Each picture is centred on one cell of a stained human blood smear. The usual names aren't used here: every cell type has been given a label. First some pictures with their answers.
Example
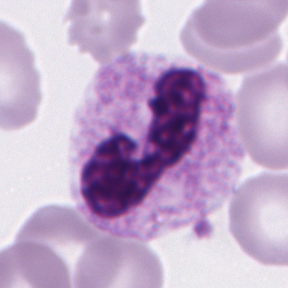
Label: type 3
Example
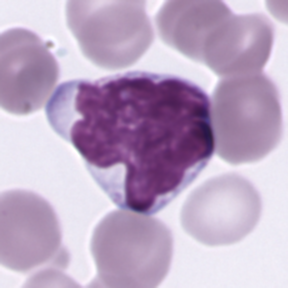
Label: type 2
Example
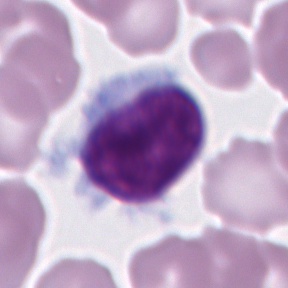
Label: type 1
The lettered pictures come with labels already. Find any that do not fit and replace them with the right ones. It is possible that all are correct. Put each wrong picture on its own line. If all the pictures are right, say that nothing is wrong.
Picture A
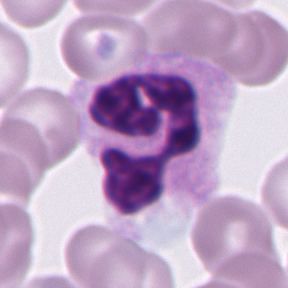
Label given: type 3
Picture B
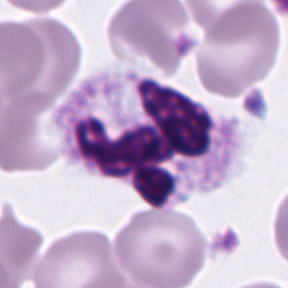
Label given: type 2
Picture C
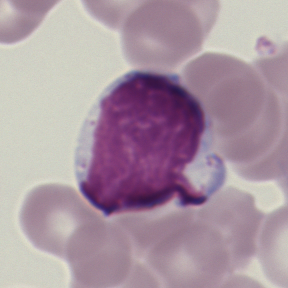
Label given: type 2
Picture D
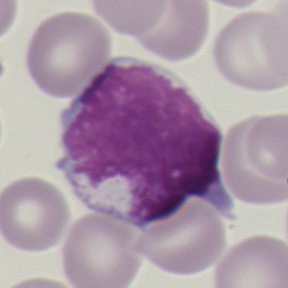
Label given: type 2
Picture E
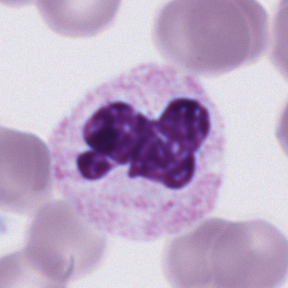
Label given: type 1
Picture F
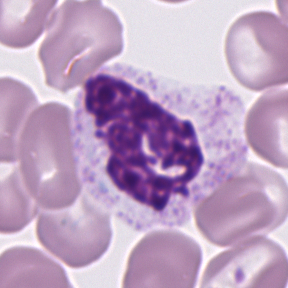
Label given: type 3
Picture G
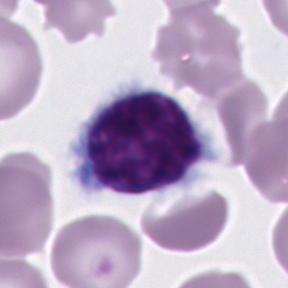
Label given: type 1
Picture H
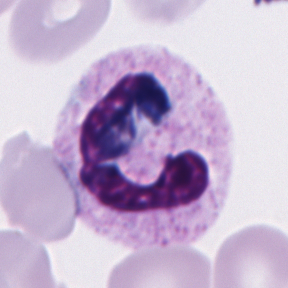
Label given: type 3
B is labelled type 2; correct label: type 3
E is labelled type 1; correct label: type 3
